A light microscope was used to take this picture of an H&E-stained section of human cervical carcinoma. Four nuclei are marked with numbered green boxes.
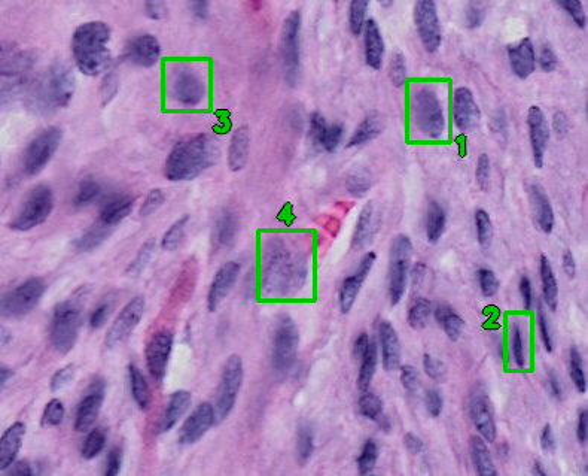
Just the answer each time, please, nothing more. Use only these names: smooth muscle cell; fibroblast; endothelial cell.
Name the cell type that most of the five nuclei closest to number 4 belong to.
fibroblast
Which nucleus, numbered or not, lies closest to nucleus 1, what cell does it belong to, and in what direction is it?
a fibroblast, to the right of nucleus 1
